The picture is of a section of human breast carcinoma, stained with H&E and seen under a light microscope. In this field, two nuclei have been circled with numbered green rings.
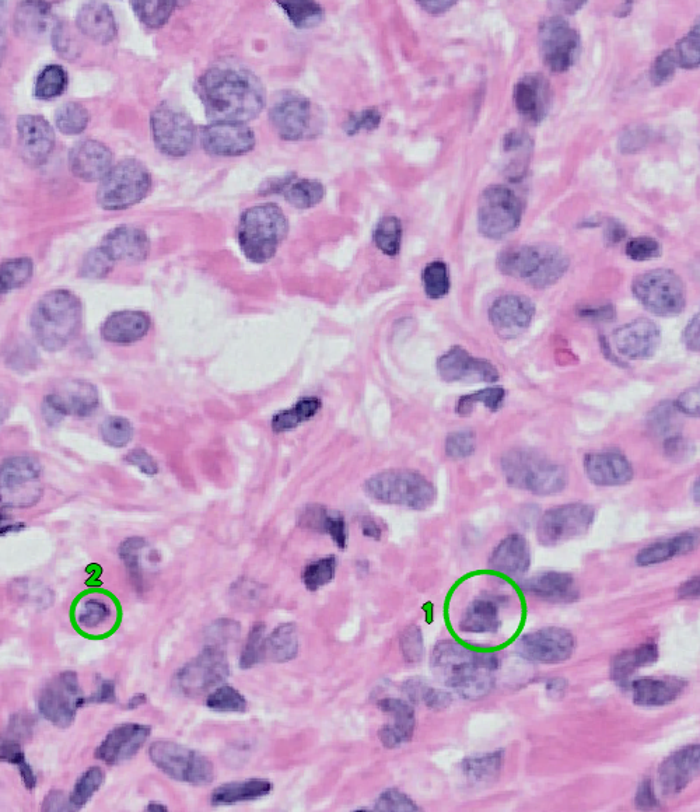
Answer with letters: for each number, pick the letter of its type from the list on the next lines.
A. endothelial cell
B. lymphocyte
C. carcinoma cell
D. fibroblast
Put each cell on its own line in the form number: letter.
1: C
2: A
